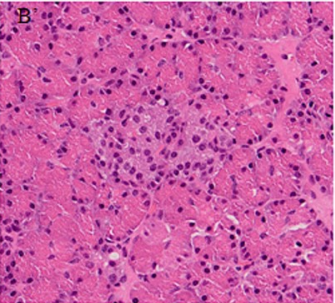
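This is pancreatic tissue with a small islet set among exocrine acinar cells. In the center lies a rounded cluster of cells with paler, lightly stained cytoplasm and round nuclei. It is surrounded on all sides by acinar cells with deep pink granular cytoplasm arranged in small groups. The acinar tissue reaches right up to the edge of the pale cluster, leaving little space between them. This is a small, well-defined islet of endocrine cells within the exocrine pancreas.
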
